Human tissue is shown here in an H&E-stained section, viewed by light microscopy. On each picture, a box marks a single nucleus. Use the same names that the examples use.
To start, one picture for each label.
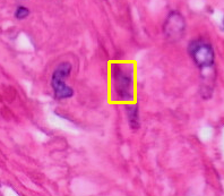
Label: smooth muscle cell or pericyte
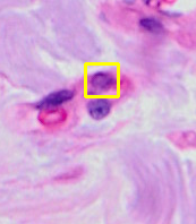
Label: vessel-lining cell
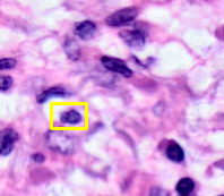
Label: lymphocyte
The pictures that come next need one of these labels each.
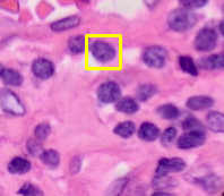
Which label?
lymphocyte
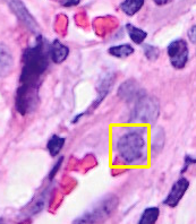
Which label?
vessel-lining cell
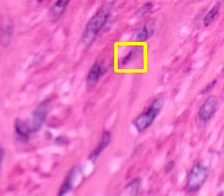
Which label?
smooth muscle cell or pericyte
